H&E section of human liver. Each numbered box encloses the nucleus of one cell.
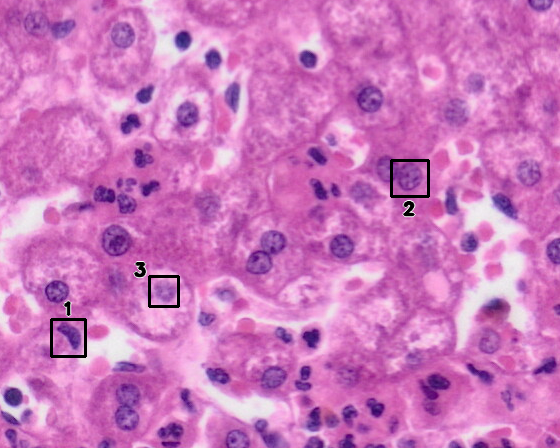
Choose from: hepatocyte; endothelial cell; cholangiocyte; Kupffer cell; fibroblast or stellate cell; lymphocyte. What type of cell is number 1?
fibroblast or stellate cell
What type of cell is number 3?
hepatocyte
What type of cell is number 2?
hepatocyte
